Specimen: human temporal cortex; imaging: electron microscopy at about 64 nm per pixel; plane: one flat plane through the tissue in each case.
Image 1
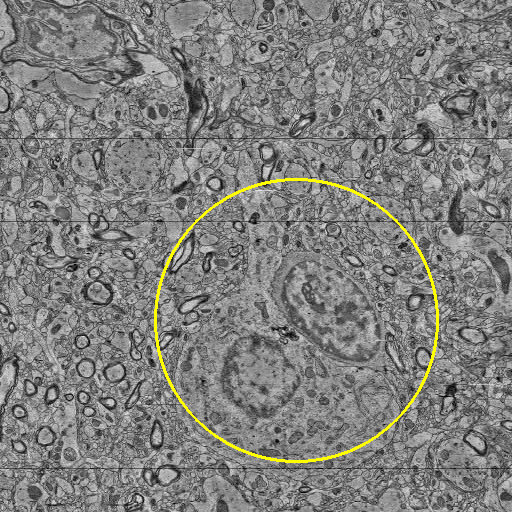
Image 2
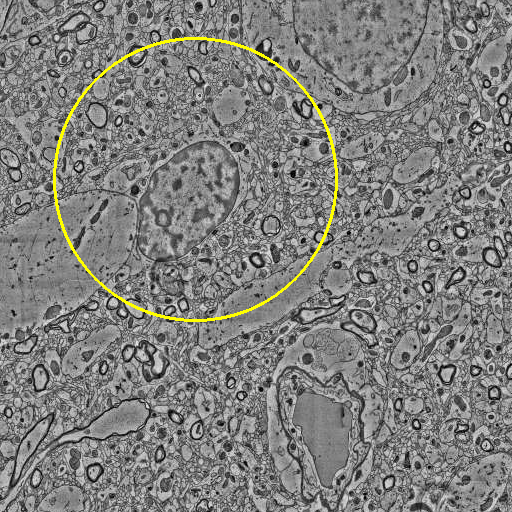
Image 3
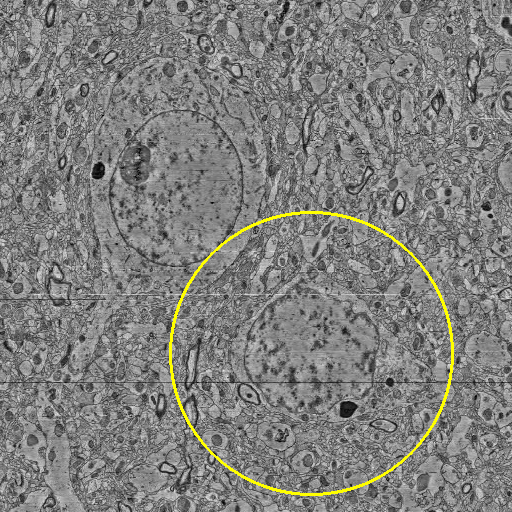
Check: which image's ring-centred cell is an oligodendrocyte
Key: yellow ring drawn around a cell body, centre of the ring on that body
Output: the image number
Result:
1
